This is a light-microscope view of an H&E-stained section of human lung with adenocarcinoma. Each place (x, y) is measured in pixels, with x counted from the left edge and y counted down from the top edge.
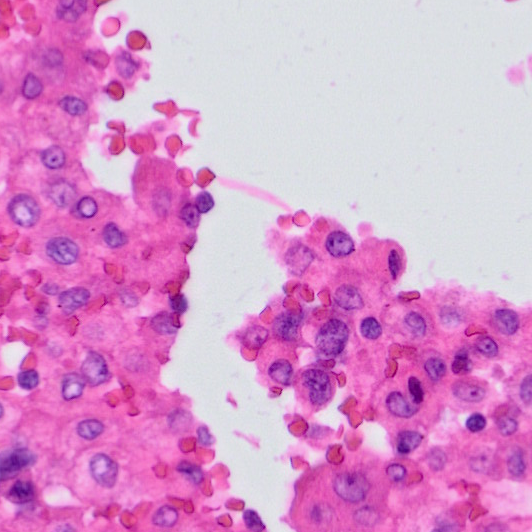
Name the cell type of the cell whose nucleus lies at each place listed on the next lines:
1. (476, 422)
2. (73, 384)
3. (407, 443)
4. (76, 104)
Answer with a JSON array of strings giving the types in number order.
["lymphocyte", "macrophage or monocyte", "macrophage or monocyte", "macrophage or monocyte"]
